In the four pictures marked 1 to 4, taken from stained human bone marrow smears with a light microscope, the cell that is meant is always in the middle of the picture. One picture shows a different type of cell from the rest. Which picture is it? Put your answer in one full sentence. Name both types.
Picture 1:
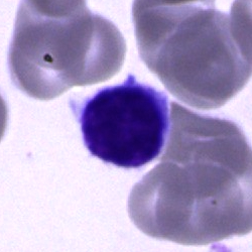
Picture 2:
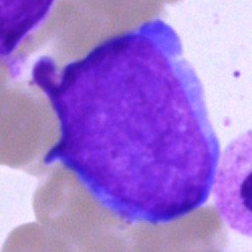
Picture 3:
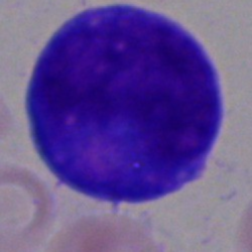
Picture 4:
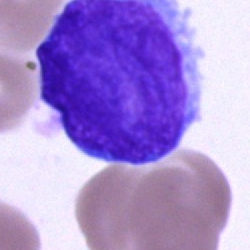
Picture 1 is the odd one out: it shows a lymphocyte, while the others show blasts.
